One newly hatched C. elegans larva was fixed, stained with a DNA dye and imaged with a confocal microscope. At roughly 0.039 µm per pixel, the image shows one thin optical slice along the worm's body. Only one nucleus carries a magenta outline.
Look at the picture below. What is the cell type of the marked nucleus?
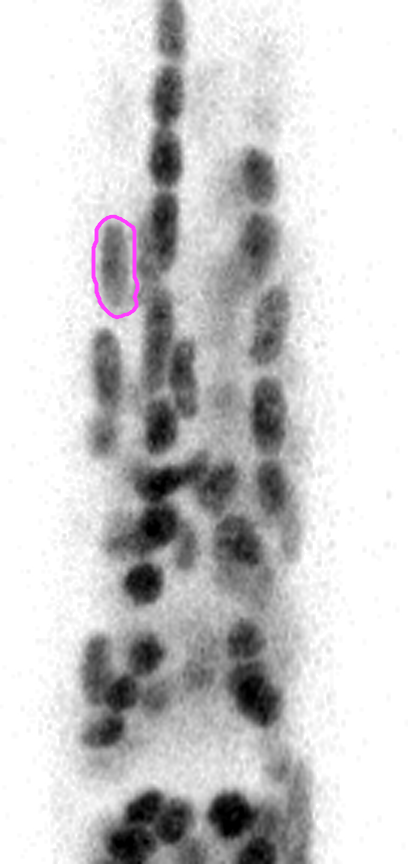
body wall muscle cell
